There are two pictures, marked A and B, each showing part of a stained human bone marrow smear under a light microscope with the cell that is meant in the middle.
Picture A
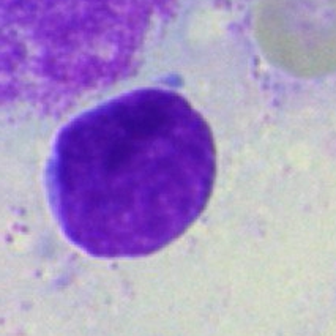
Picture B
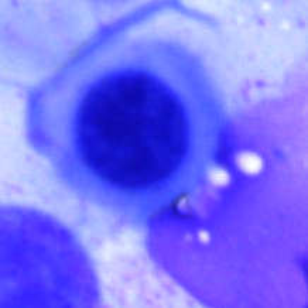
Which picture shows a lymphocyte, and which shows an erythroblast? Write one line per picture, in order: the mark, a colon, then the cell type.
A: lymphocyte
B: erythroblast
